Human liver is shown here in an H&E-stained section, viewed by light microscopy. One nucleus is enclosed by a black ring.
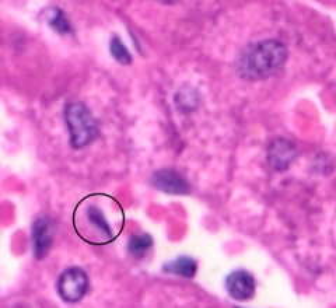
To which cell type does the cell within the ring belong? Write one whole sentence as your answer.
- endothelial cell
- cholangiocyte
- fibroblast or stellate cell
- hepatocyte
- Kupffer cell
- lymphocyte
Labelled by cell type, the cell within the ring is an endothelial cell.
